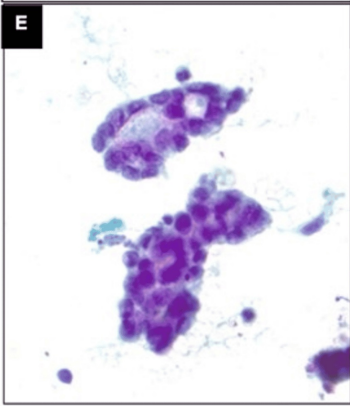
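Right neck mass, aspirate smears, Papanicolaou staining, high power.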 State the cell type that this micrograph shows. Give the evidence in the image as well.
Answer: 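Cohesive clusters of epithelial cells. Ovoid nuclei overlap one another within the clusters. The answer: carcinoma cells.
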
